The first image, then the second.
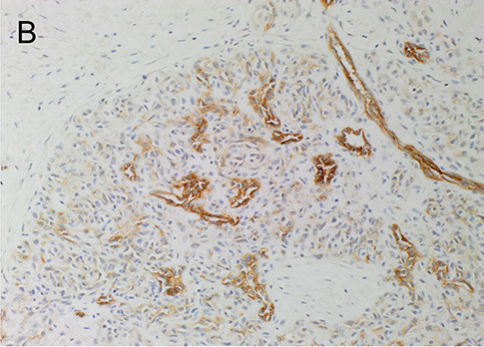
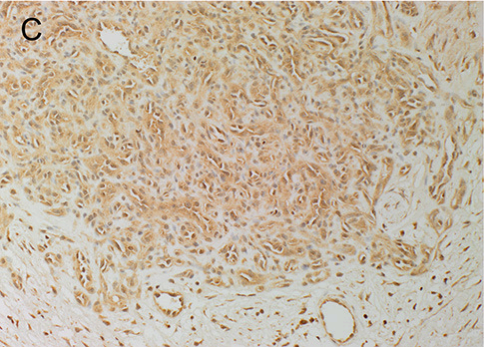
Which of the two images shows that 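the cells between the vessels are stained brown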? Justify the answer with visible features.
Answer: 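Second image: brown colour fills the cytoplasm of most cells throughout the lobule, not only the vessel linings. The answer: the second image.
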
